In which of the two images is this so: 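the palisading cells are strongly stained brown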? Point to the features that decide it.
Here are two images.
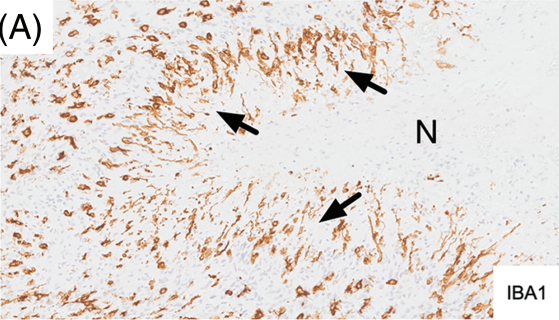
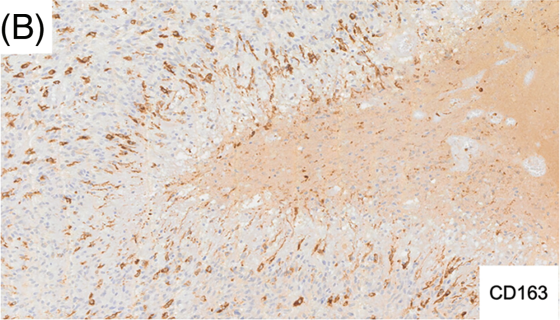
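First image: the palisading cells are intensely brown with clearly outlined processes. So: the first image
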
